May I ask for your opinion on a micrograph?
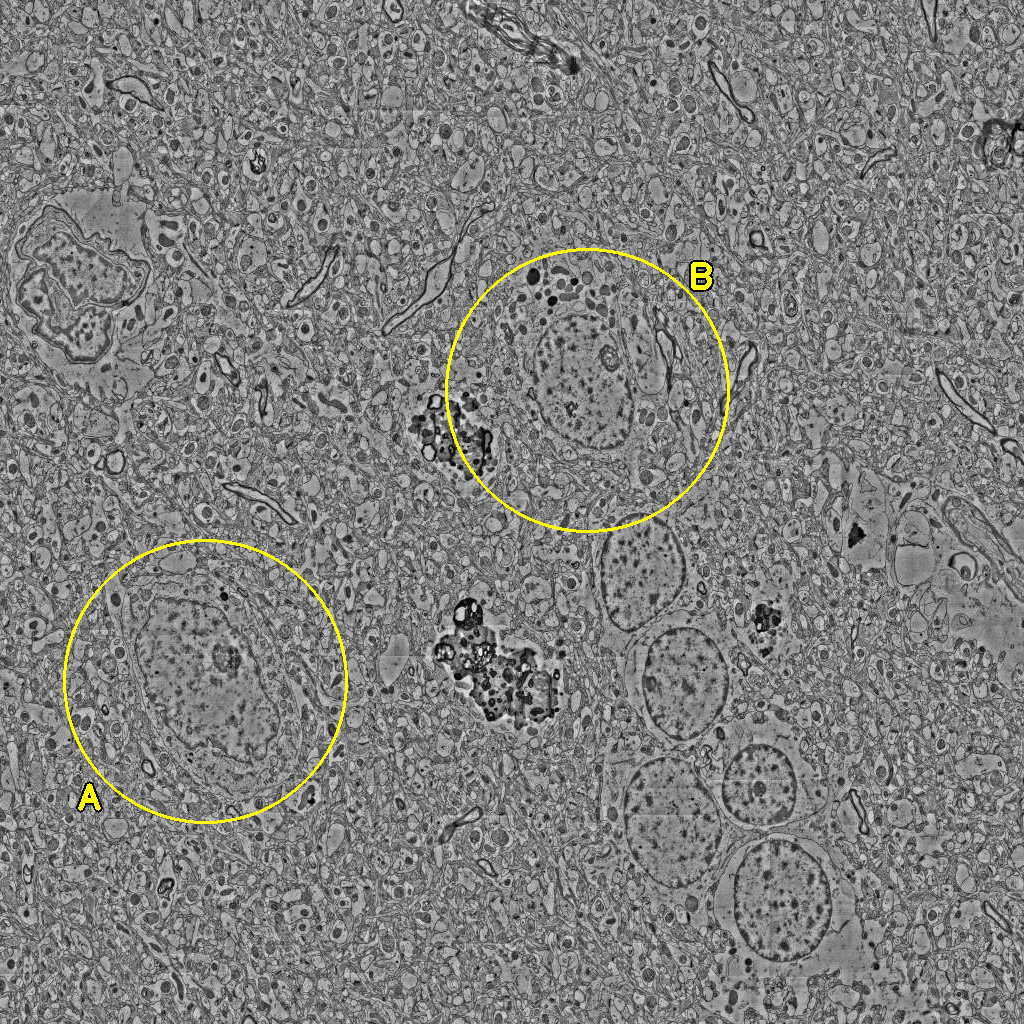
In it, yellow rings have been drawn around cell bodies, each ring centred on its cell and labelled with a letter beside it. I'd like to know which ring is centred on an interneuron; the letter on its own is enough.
A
